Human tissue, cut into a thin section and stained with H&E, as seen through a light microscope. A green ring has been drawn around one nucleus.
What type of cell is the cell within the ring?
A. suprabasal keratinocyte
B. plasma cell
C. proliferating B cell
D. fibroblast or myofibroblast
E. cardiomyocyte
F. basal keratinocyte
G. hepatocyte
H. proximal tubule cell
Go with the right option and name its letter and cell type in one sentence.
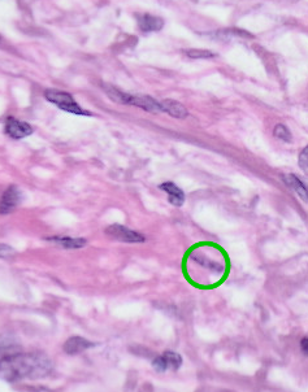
As the cell within the ring is a fibroblast or myofibroblast, the correct choice is option D.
